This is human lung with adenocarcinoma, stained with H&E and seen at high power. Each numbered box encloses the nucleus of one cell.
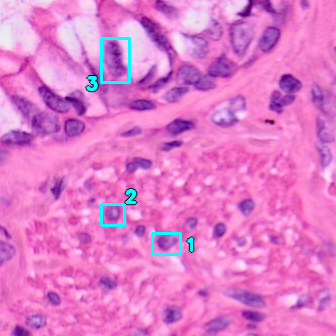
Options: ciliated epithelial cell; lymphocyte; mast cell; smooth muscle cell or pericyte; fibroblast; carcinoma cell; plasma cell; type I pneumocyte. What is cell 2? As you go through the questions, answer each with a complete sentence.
At number 2, the marked cell is a smooth muscle cell or pericyte.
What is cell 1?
What the number 1 marks in this field is a smooth muscle cell or pericyte.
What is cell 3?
Within this field of view, the cell labelled 3 is a ciliated epithelial cell.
